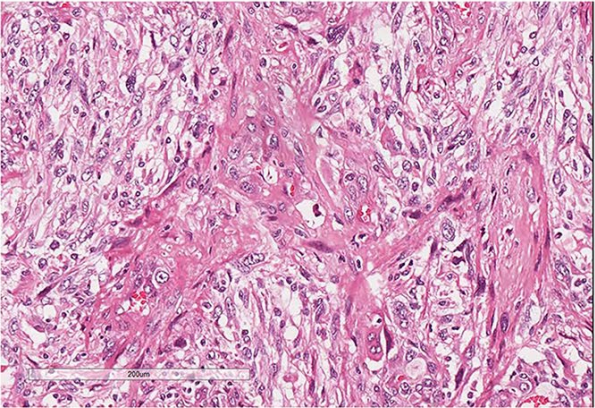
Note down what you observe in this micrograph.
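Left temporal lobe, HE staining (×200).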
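Densely cellular glioblastoma made of spindle, oval and irregular cells in a pale, loose to fibrillary pink background. Nuclei are pleomorphic, many enlarged and dark purple, with some larger bizarre forms. Broad bands of deep pink thickened vessel walls with plump crowded nuclei wind through the tumour, some with small lumens holding red blood cells.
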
